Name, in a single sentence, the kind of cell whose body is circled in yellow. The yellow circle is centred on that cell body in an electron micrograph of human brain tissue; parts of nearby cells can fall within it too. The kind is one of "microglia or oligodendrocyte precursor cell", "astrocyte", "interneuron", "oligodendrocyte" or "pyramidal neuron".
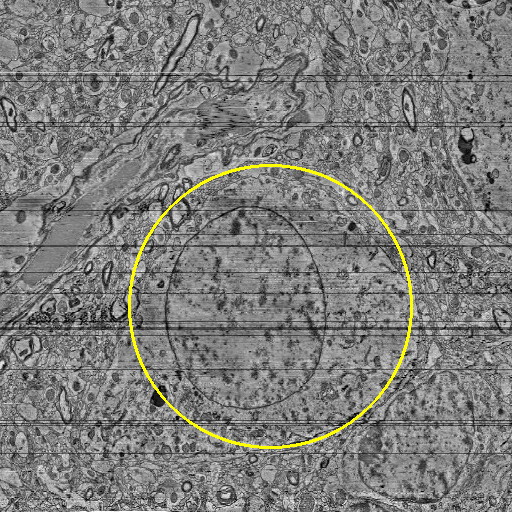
The circled cell body belongs to a pyramidal neuron.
